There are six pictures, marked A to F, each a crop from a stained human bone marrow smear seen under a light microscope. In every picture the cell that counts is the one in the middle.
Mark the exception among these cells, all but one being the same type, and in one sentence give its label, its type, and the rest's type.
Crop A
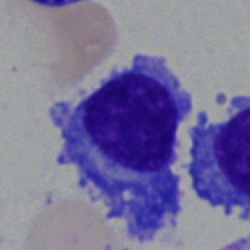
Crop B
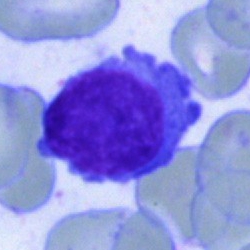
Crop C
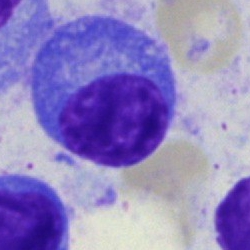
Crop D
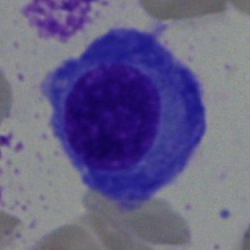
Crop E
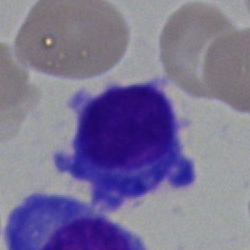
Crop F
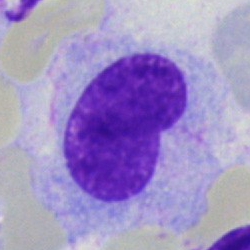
Apart from crop F, which shows a hairy cell, every crop shows plasma cells.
